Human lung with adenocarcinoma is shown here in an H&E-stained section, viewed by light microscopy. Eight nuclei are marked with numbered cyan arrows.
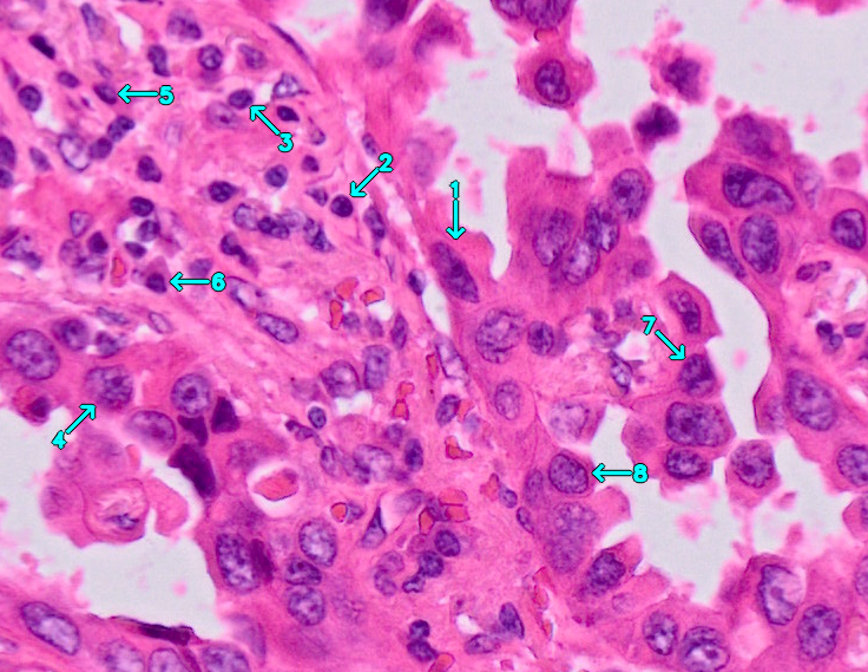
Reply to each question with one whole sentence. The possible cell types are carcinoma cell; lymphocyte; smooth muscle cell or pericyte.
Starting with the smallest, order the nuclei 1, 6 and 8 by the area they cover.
From smallest to largest, the order is 6, 8, 1.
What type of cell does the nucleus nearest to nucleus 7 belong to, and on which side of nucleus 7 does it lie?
A carcinoma cell lies closest, below nucleus 7.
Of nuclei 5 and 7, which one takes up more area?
It is nucleus 7, which covers about 4 times the area of nucleus 5.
